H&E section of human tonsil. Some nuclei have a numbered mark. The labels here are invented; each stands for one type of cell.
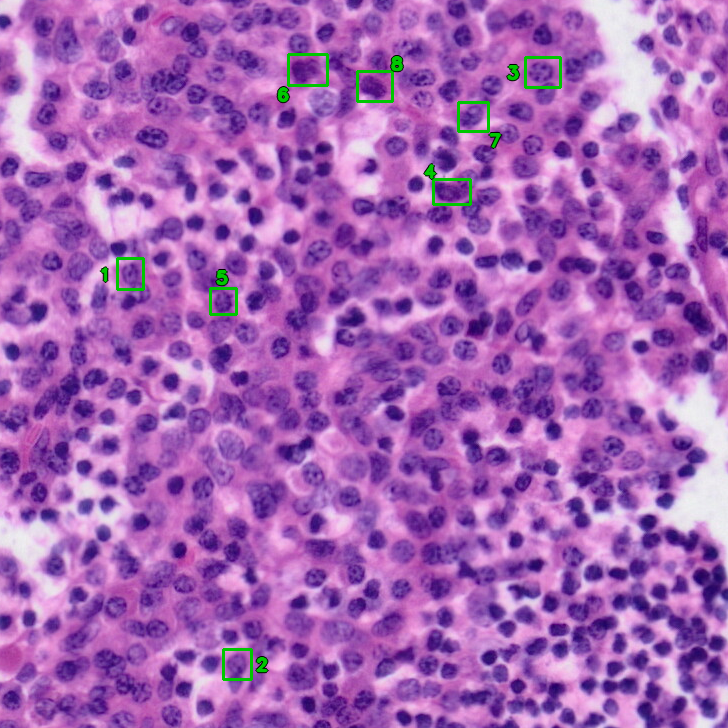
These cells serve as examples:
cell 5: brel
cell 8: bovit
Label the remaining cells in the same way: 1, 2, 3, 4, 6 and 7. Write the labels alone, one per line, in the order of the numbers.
brel
brel
brel
bovit
bovit
brel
